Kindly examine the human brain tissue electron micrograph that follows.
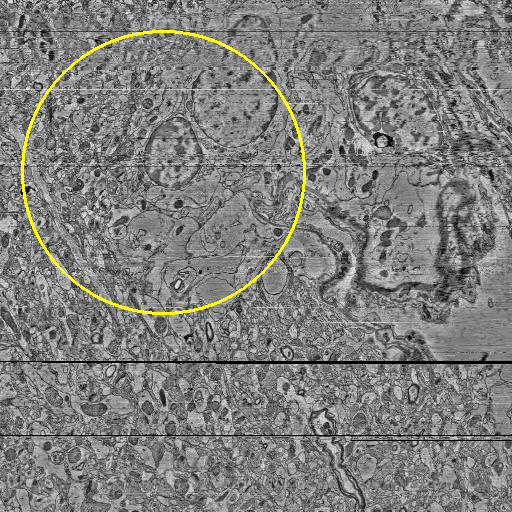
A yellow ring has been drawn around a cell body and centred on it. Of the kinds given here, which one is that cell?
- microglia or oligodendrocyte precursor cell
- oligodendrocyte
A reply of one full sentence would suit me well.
The micrograph's ringed cell, the one at the ring's centre, is a microglial cell or oligodendrocyte precursor cell.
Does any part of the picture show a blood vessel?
Yes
